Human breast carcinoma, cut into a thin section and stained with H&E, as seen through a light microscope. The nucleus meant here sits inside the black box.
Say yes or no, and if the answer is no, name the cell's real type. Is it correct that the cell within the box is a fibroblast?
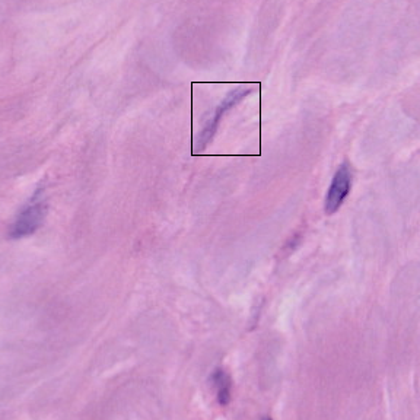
Yes.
